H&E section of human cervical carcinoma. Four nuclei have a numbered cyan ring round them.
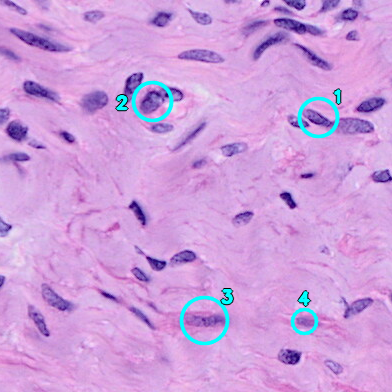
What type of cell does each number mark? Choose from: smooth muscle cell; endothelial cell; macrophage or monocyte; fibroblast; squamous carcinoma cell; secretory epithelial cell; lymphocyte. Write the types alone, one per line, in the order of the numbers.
fibroblast
endothelial cell
smooth muscle cell
smooth muscle cell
